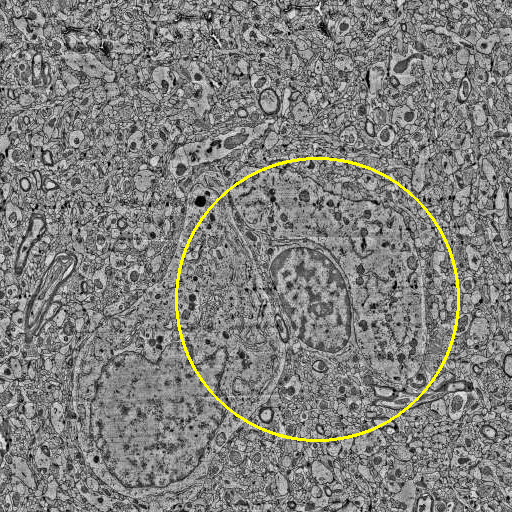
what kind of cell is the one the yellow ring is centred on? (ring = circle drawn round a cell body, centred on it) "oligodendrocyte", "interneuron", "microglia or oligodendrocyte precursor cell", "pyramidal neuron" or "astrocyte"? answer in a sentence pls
The ring is drawn around a microglial cell or oligodendrocyte precursor cell.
